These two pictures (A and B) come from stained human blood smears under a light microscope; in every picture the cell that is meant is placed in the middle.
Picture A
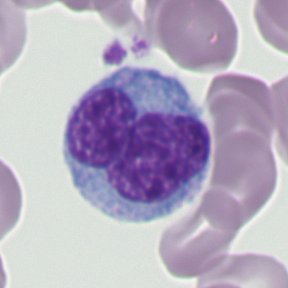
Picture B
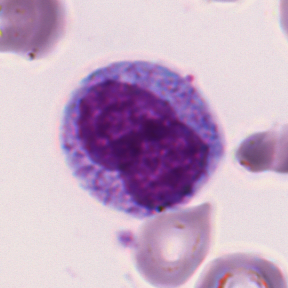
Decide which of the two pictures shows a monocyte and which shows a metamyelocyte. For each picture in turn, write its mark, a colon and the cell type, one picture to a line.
A: monocyte
B: metamyelocyte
